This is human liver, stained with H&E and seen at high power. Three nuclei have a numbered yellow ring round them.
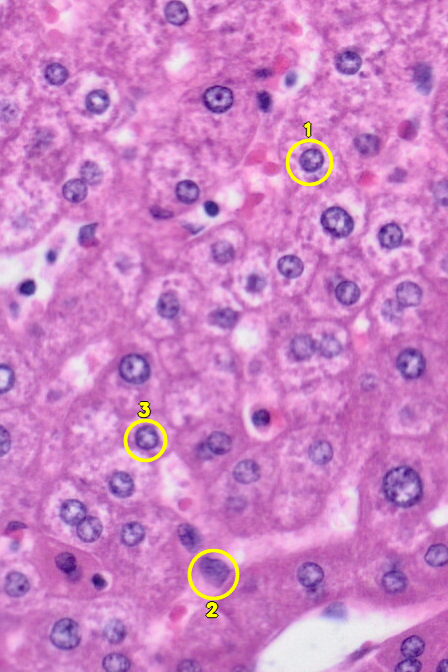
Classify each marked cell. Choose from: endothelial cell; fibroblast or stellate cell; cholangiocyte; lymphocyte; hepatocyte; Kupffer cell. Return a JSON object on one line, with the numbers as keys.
{"1": "hepatocyte", "2": "endothelial cell", "3": "hepatocyte"}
